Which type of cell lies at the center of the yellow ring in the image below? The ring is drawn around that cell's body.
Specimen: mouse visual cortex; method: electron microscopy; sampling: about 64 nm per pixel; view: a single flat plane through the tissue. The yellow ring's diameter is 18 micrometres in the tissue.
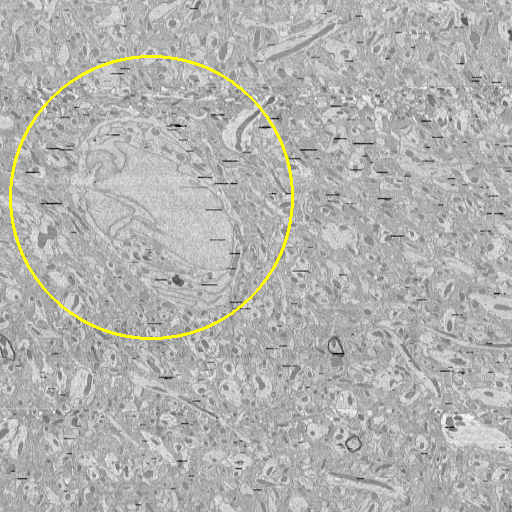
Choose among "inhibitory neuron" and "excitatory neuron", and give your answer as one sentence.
The cell body at the center belongs to an inhibitory neuron.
